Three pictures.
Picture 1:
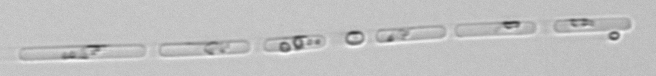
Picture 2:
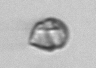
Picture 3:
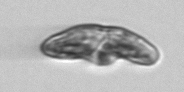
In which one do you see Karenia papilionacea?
In picture 3.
